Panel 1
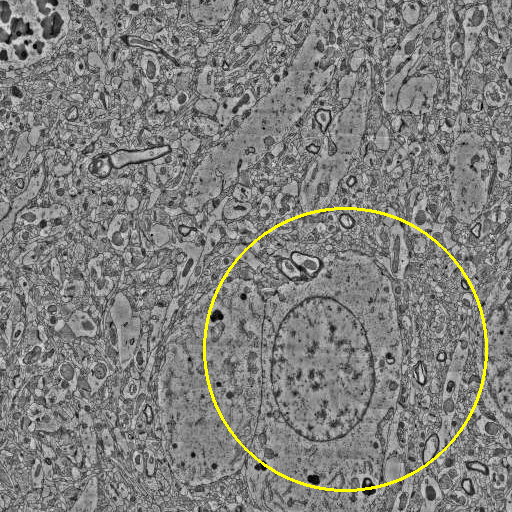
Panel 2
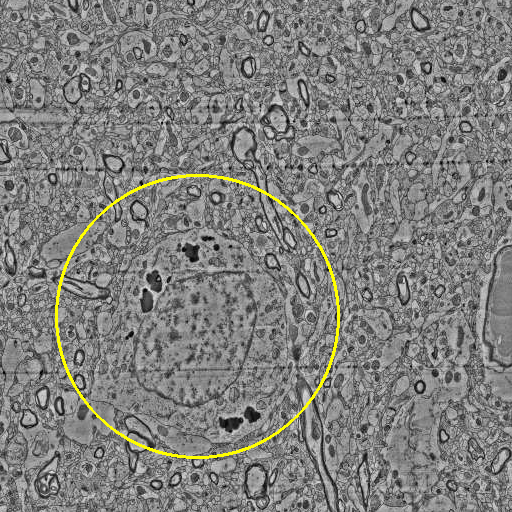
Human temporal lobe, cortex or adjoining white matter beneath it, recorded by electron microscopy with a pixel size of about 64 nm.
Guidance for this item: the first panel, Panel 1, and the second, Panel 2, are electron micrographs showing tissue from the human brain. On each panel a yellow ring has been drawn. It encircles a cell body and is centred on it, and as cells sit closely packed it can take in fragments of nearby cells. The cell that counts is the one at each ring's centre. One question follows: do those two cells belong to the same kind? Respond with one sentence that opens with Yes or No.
No, the cells at the ring centres in Panel 1 and Panel 2 are of two kinds.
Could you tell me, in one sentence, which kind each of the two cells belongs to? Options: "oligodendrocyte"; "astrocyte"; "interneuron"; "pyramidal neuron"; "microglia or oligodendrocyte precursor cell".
At the centre of the first ring sits a pyramidal neuron, and at the centre of the second sits an interneuron.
